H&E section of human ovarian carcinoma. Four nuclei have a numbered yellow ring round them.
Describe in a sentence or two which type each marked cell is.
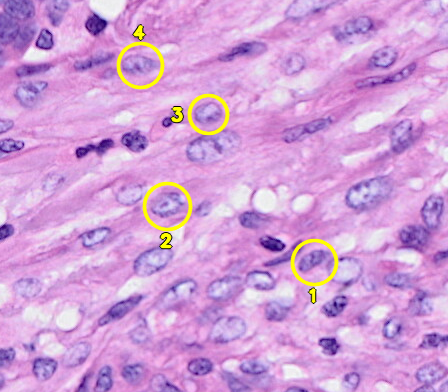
Cell 1 is a macrophage or monocyte, cell 2 is a fibroblast, cell 3 is a fibroblast and cell 4 is a fibroblast.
